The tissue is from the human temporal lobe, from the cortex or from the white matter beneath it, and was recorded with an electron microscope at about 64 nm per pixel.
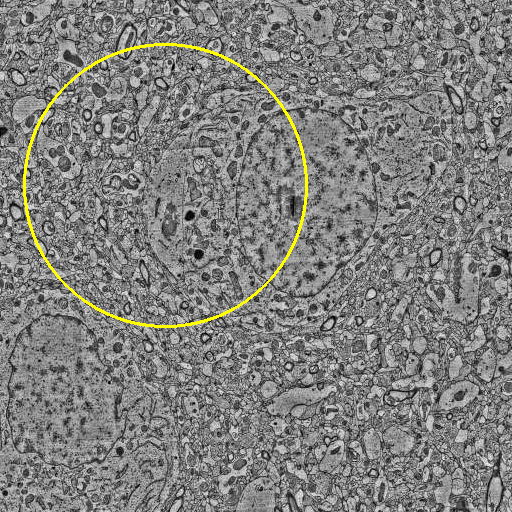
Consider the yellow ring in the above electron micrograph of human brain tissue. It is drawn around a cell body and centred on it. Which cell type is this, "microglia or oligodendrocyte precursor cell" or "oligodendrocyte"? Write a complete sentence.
The cell in question is a microglial cell or oligodendrocyte precursor cell.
